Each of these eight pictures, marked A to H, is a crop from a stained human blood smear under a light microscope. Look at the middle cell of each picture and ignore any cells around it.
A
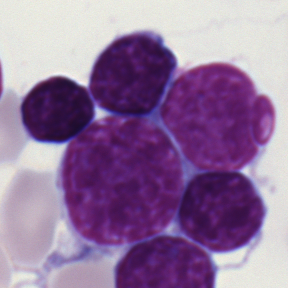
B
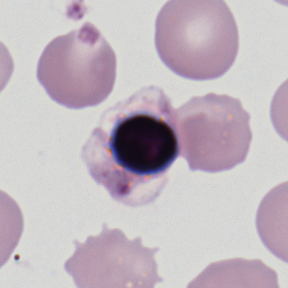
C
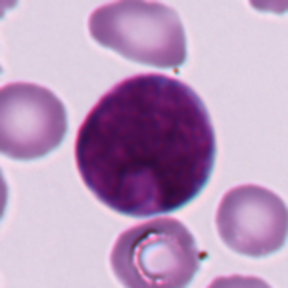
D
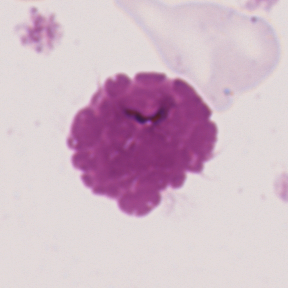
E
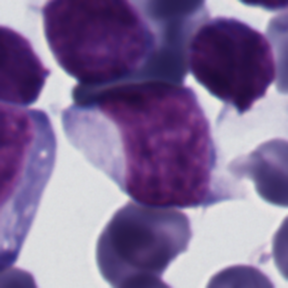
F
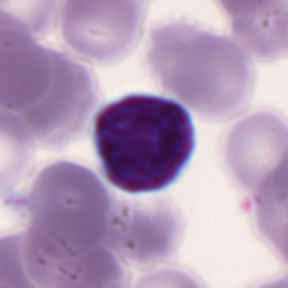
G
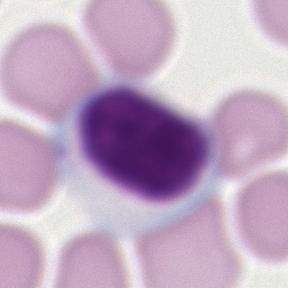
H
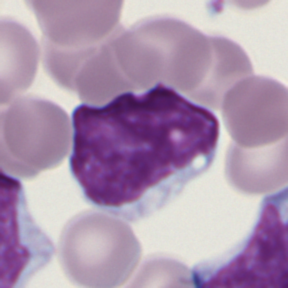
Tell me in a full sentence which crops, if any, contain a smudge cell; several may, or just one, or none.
In crop D, and in no other crop, the central cell is a smudge cell.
